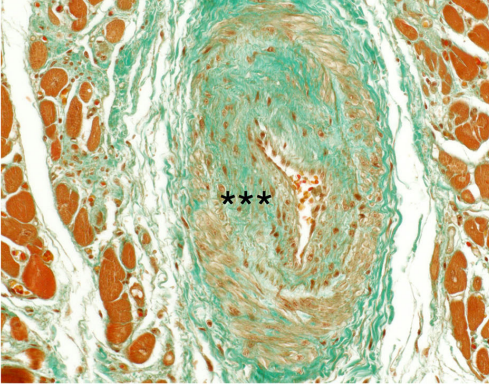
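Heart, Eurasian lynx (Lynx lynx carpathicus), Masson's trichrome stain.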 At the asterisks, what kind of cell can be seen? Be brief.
myointimal cells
